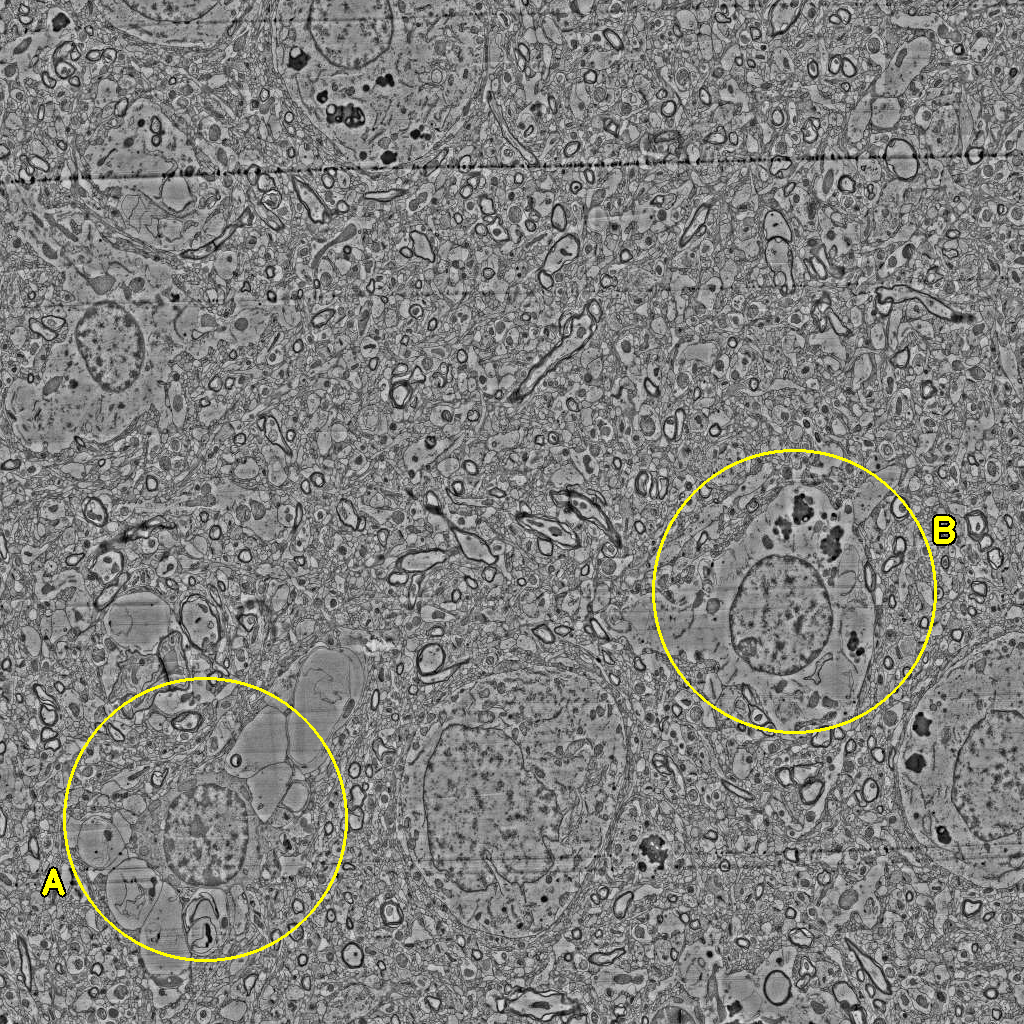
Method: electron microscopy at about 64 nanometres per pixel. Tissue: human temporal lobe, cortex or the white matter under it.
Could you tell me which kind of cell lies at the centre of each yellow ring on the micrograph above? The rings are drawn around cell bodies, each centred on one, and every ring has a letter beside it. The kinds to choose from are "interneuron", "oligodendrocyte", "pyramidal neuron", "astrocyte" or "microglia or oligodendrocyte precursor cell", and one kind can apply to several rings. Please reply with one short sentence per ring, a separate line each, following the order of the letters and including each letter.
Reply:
Ring A circles an oligodendrocyte.
Ring B circles an astrocyte.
